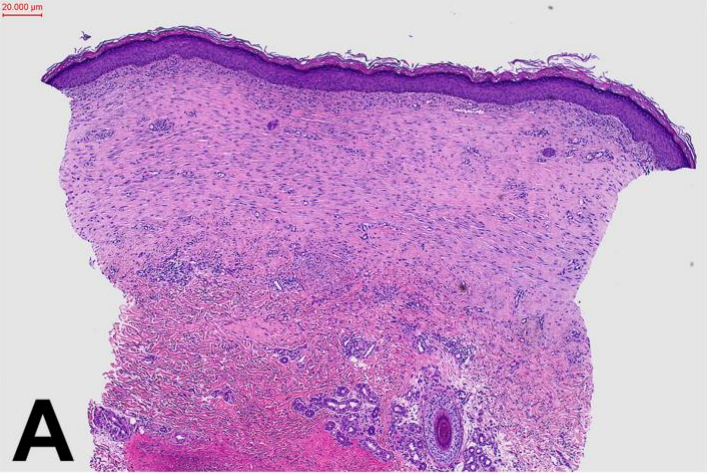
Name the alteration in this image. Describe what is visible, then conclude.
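The upper half of the dermis is replaced by a band of pale pink fibrous tissue. Spindle cells and collagen in this band run parallel to the skin surface. Normal dermis with glands and a hair follicle lies below the band.
Answer: superficial to mid‐dermal scarring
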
